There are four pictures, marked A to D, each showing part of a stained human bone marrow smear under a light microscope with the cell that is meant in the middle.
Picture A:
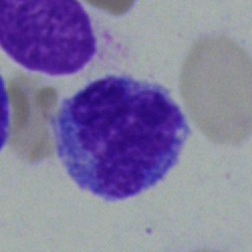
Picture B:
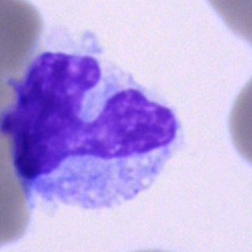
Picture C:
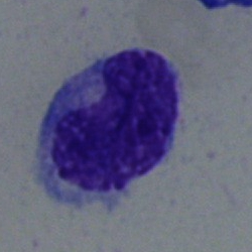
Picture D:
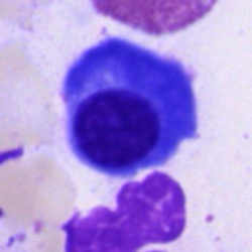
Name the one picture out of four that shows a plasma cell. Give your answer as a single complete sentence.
The cell in picture D is the plasma cell.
